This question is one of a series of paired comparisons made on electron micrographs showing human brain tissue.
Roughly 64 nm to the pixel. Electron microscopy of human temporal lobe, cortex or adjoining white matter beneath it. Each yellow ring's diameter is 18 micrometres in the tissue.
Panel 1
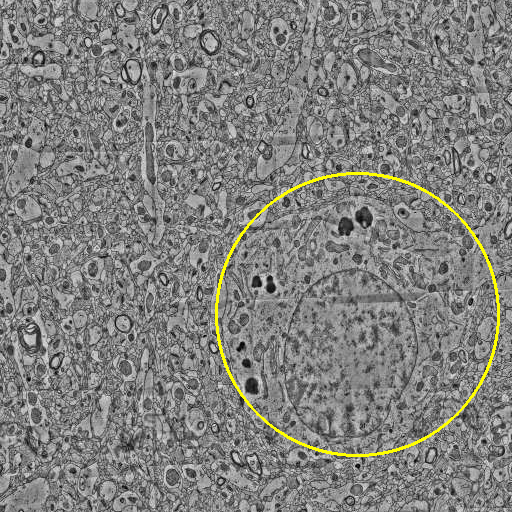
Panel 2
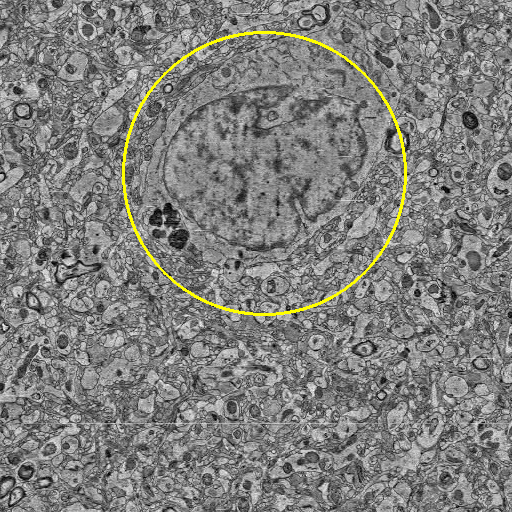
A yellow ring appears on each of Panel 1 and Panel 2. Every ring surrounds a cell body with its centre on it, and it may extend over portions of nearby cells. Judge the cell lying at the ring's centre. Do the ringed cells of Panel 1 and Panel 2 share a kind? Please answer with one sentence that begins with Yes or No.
Yes, the ring-centre cell in Panel 1 and the one in Panel 2 are of one kind.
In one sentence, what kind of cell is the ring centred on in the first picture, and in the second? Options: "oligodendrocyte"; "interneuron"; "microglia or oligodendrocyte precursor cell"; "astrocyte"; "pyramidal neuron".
Each of the two rings is centred on an interneuron.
